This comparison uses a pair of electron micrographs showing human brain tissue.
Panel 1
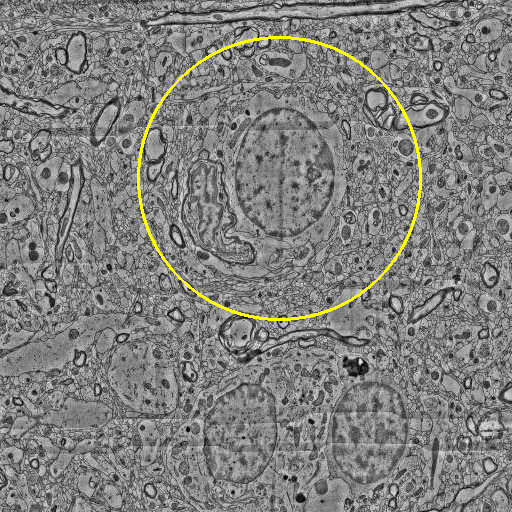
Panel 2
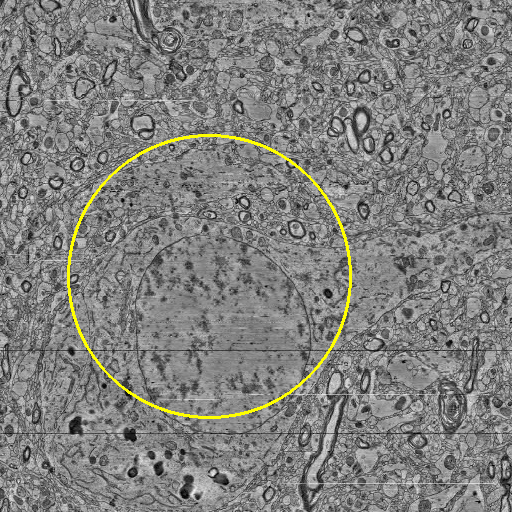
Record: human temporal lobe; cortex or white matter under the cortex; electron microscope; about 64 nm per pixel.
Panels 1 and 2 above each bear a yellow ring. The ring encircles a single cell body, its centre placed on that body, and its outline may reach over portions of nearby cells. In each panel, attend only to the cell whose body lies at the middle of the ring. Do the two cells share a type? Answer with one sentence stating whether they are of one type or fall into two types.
In Panel 1 and Panel 2, the cells at the centres of the rings fall into two types.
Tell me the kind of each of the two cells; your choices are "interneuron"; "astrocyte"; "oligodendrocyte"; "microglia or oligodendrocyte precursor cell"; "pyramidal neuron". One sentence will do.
The ringed cell is a microglial cell or oligodendrocyte precursor cell in the first picture and a pyramidal neuron in the second picture.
